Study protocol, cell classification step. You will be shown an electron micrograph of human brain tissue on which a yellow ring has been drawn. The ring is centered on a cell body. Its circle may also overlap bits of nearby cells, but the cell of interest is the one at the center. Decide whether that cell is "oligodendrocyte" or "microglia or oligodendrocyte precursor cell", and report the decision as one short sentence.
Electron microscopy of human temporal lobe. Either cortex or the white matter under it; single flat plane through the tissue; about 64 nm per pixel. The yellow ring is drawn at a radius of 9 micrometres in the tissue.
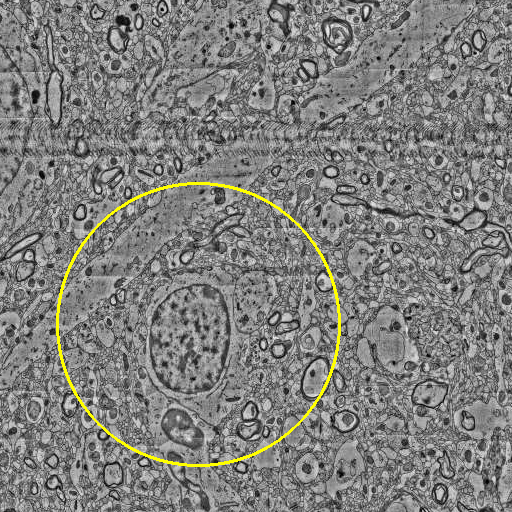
The marked cell is a microglial cell or oligodendrocyte precursor cell.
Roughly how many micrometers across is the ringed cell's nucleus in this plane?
In this plane the nucleus is about 7 micrometres by 5.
